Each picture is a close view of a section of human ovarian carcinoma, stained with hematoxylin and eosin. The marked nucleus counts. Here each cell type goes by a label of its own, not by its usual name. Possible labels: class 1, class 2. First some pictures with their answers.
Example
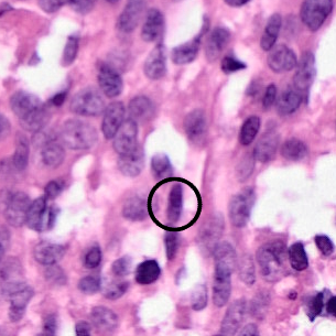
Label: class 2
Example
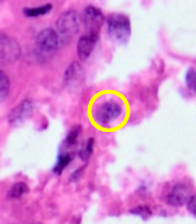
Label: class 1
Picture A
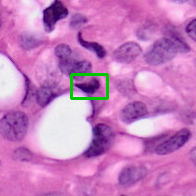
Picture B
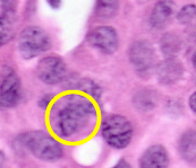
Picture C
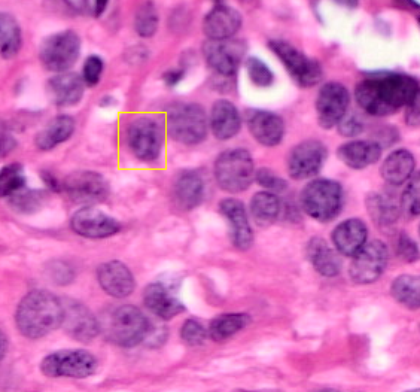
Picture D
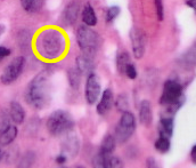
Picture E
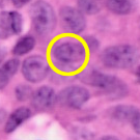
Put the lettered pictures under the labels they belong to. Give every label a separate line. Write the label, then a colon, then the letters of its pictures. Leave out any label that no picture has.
class 2: A, B, C, D, E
